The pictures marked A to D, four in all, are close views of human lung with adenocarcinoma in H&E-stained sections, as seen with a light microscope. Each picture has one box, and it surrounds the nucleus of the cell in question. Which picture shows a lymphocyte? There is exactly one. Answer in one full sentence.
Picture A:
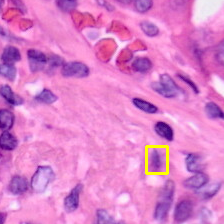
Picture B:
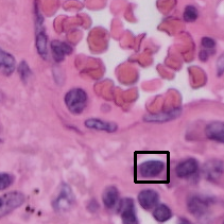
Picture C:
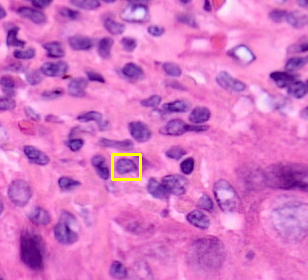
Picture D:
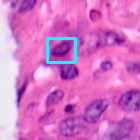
The picture with the lymphocyte is C.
